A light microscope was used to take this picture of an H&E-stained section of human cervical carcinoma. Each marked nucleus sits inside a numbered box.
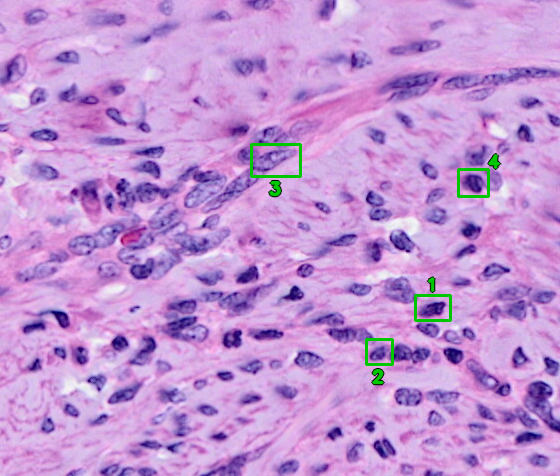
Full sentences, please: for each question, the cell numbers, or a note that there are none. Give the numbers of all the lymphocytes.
The cells referred to by numbers 1, 2 and 4 are lymphocytes.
